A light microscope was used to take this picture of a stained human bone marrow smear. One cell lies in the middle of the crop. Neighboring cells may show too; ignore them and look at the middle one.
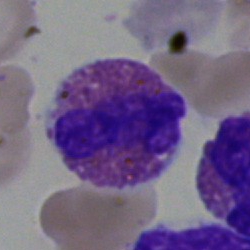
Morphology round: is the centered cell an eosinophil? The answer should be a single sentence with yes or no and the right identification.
Yes, the cell that lies centrally is an eosinophil.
